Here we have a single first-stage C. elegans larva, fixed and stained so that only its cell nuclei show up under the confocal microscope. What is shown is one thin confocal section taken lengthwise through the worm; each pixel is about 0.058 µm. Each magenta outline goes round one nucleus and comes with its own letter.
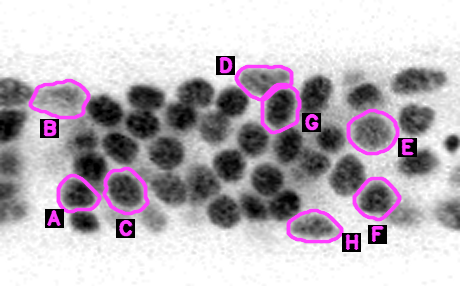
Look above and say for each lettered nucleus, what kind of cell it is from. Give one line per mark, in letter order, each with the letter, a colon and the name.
A: GLR cell
B: body wall muscle cell
C: neuron
D: body wall muscle cell
E: pharyngeal muscle cell
F: neuron
G: neuron
H: body wall muscle cell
